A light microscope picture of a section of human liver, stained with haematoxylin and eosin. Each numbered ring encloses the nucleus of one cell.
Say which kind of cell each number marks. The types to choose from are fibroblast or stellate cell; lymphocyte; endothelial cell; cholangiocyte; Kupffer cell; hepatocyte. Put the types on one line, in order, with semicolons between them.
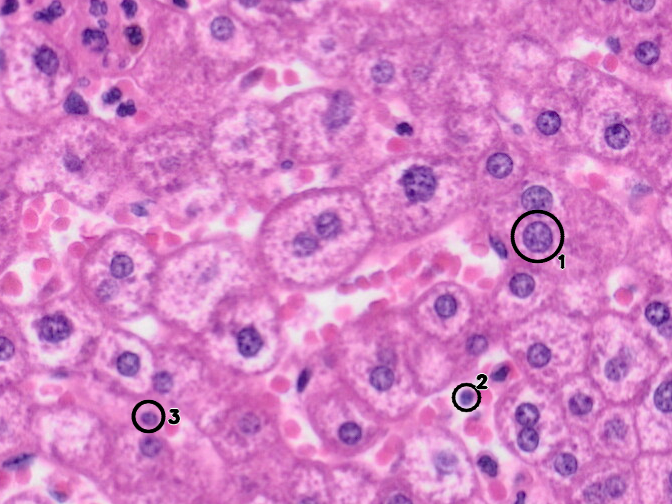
hepatocyte; lymphocyte; lymphocyte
